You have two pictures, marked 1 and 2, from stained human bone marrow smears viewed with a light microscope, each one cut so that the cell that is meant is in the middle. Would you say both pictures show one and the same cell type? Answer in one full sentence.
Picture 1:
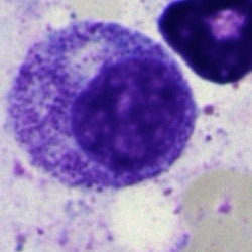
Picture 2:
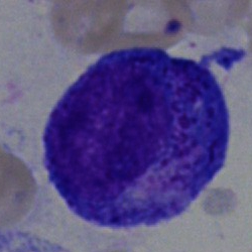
Yes, both are promyelocytes.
